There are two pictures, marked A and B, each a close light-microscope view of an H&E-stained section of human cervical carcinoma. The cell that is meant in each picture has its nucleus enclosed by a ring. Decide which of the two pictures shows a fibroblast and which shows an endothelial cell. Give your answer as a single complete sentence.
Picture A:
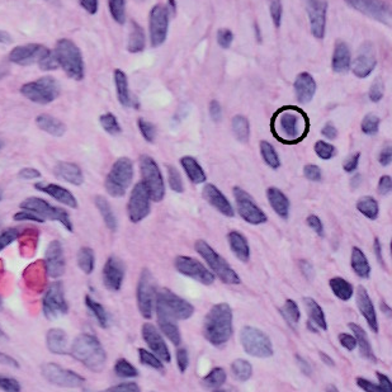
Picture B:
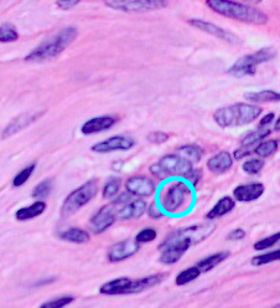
Picture A shows a fibroblast and picture B shows an endothelial cell.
